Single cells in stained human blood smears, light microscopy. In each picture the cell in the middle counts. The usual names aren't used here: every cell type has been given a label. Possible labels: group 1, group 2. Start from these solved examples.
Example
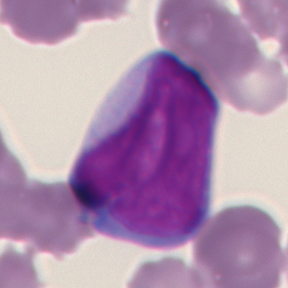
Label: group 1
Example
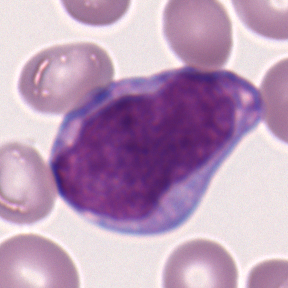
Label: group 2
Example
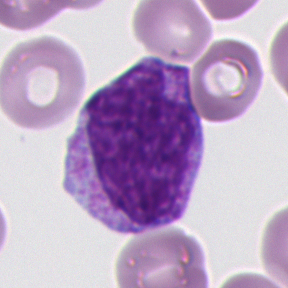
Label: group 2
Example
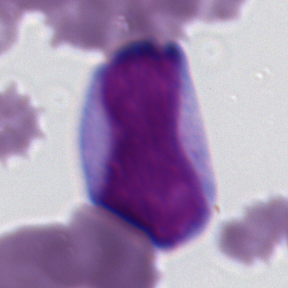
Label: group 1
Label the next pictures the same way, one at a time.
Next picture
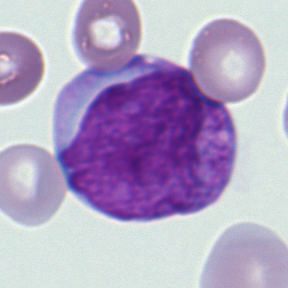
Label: group 2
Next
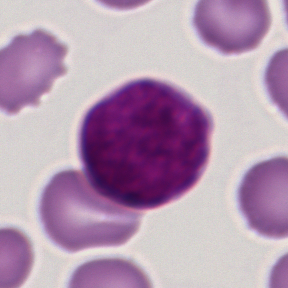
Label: group 1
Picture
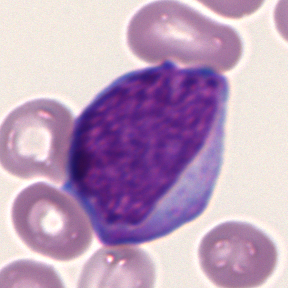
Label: group 2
